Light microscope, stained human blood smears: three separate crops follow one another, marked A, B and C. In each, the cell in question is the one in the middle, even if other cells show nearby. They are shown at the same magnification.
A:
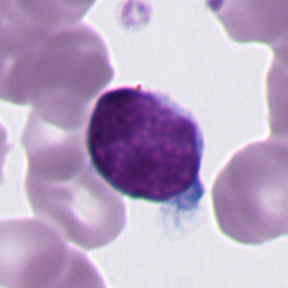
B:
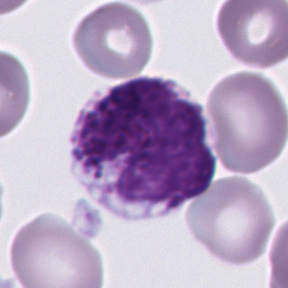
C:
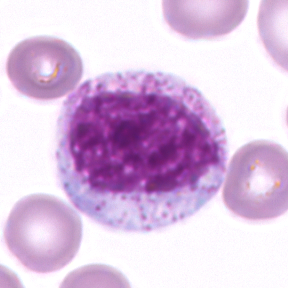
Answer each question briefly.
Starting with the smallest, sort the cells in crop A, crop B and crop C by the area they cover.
A, B, C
